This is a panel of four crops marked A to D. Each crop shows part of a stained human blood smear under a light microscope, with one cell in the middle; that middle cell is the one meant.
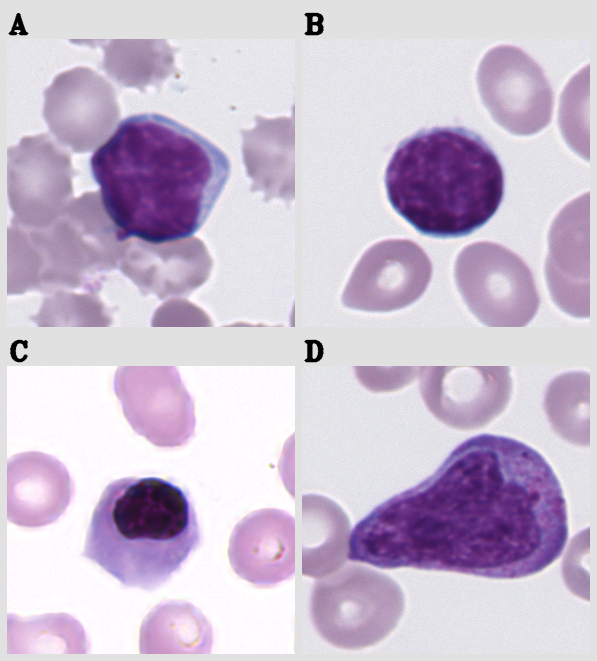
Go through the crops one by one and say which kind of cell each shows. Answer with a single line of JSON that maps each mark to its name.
{"A": "typical lymphocyte", "B": "typical lymphocyte", "C": "normoblast", "D": "atypical promyelocyte"}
